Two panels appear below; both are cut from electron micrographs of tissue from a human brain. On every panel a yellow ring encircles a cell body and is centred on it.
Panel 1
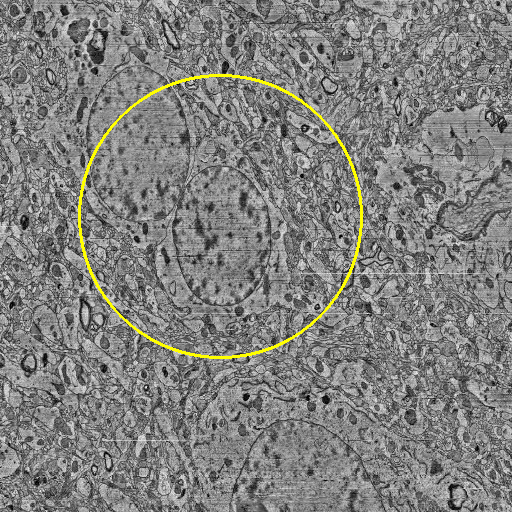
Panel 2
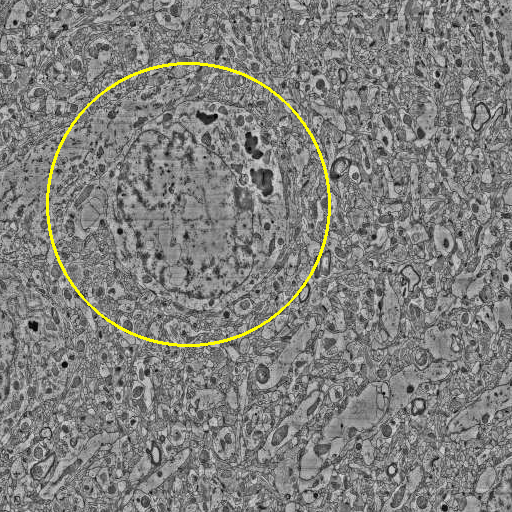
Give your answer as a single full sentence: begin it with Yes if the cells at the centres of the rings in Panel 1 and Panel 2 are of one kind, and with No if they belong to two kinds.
Yes, the cells in the middle of the rings in Panels 1 and 2 are of one kind.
